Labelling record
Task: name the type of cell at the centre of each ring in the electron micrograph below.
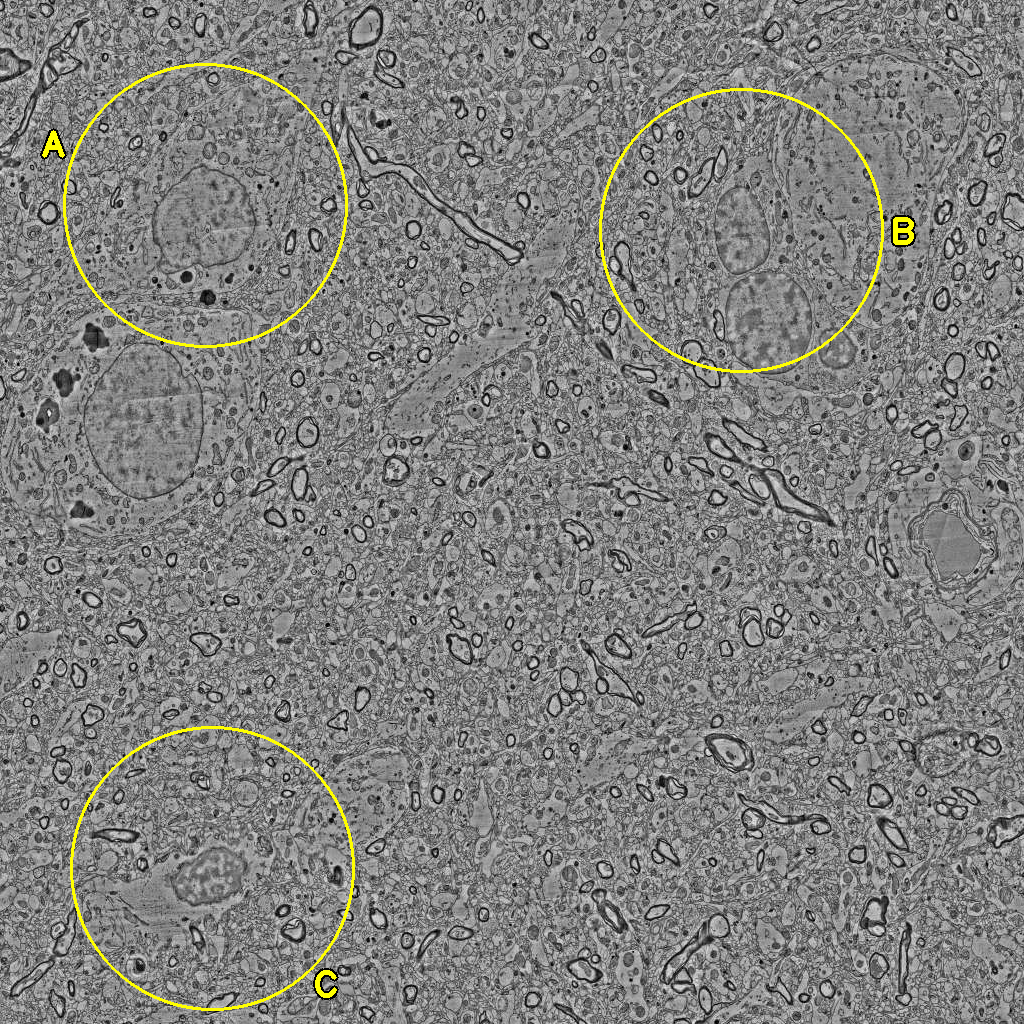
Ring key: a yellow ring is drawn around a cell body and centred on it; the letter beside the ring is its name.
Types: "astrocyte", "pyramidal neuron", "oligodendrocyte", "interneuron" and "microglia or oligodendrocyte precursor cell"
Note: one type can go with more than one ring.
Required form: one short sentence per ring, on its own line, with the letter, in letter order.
In ring A, the centred cell is a pyramidal neuron.
In ring B, the centred cell is an oligodendrocyte.
In ring C, the centred cell is a microglial cell or oligodendrocyte precursor cell.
